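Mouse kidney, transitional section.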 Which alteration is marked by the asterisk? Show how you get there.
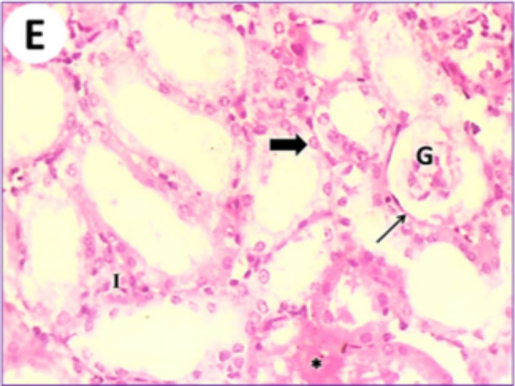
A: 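Pink homogeneous material within a tubule at the bottom of the field. The answer: eosinophilic hyaline casts.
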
